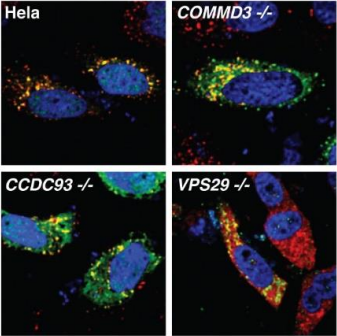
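These are cultured cells with oval blue nuclei surrounded by green and red signal in the cytoplasm. In some tiles the two colours overlap as yellow dots bunched beside the nucleus, while in others the green or the red spreads more widely through the cytoplasm.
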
